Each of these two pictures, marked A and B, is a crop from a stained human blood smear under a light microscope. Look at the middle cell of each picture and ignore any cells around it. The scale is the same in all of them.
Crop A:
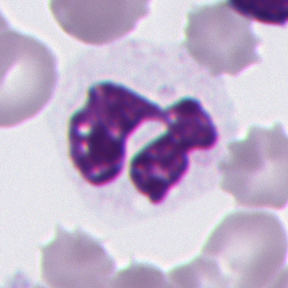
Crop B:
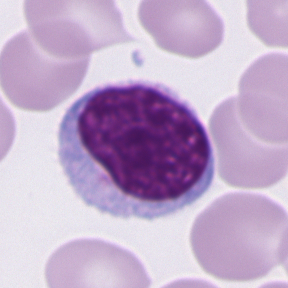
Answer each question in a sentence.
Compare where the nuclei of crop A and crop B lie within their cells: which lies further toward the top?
It is the nucleus in crop B that lies further toward the top of its cell.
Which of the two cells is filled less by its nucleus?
Of the two, the nucleus in crop A leaves more room for cytoplasm.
